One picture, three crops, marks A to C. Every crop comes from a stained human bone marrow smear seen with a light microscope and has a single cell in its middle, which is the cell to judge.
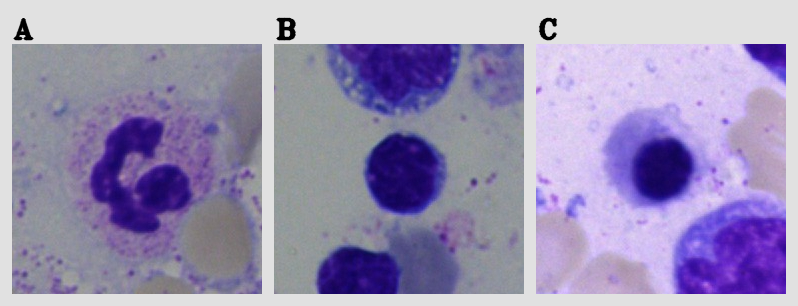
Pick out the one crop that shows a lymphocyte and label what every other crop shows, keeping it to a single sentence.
In this set, crop B shows a lymphocyte, whereas crop A is a neutrophil and crop C is a normoblast.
